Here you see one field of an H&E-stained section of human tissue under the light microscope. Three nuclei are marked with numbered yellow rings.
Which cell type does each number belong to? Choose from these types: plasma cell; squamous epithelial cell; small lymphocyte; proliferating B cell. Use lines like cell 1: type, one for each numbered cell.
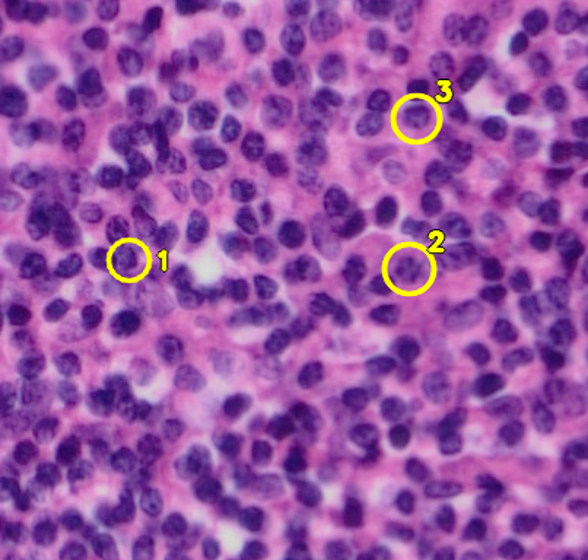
cell 1: small lymphocyte
cell 2: plasma cell
cell 3: plasma cell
